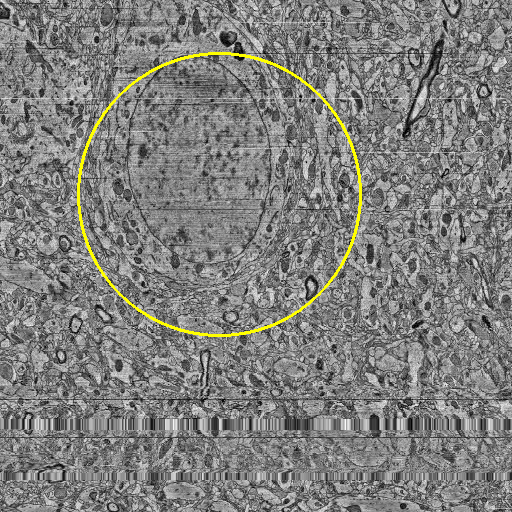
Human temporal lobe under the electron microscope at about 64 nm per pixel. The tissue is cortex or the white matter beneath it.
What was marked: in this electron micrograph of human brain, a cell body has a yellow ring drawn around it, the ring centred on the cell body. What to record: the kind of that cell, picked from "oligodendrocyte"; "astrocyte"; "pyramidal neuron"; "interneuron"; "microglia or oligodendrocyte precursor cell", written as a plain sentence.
The centred cell is a pyramidal neuron.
